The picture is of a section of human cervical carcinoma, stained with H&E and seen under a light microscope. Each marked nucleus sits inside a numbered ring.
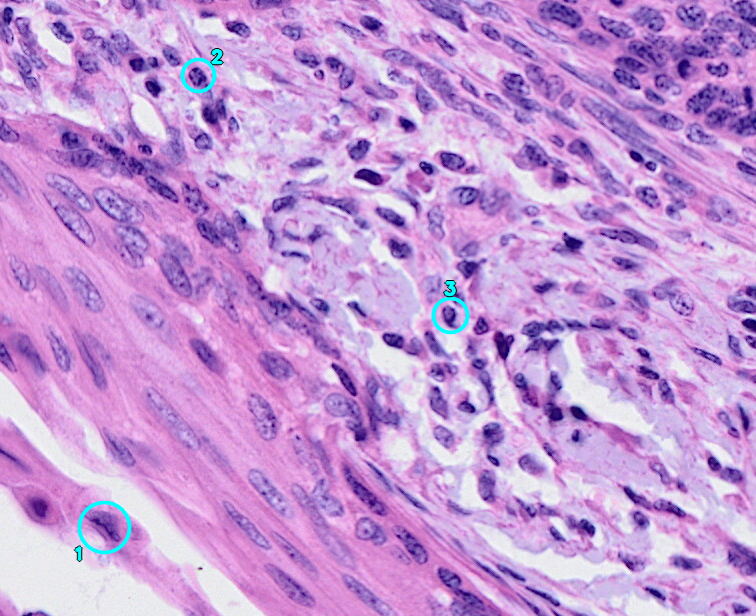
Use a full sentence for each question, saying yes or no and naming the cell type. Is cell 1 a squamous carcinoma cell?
Yes, that one, number 1, is a squamous carcinoma cell.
